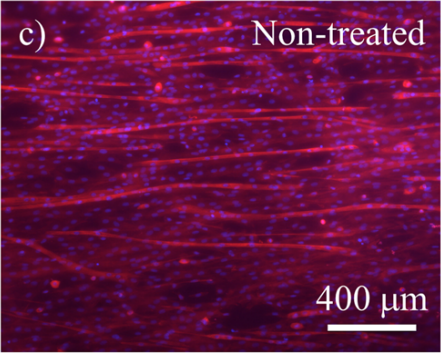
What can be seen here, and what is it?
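Cultured muscle cells have formed myotubes, seen as long, thin red fibres that run roughly parallel across the field, mostly from left to right. Numerous small blue nuclei are scattered over the whole field, lying both along the fibres and in the spaces between them. A few small, rounded, brightly red cells are dotted among the fibres, and a diffuse red background fills the gaps.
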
